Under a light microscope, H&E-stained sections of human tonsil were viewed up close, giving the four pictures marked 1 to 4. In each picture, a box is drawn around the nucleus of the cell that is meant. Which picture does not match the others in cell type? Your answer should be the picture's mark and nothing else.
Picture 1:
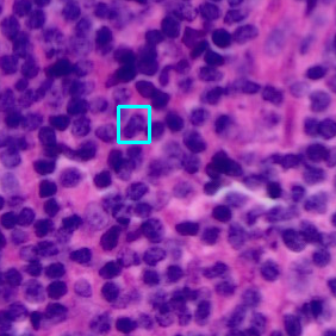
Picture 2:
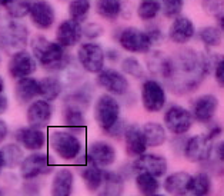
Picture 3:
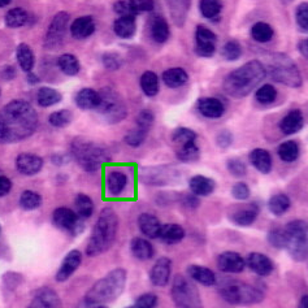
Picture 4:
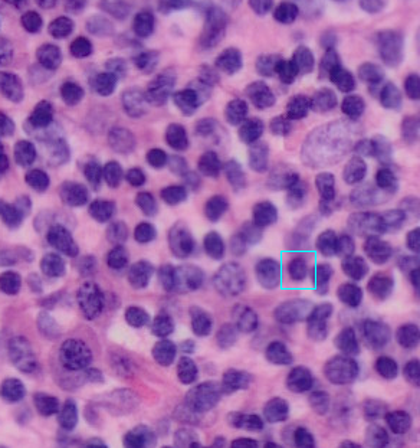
3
